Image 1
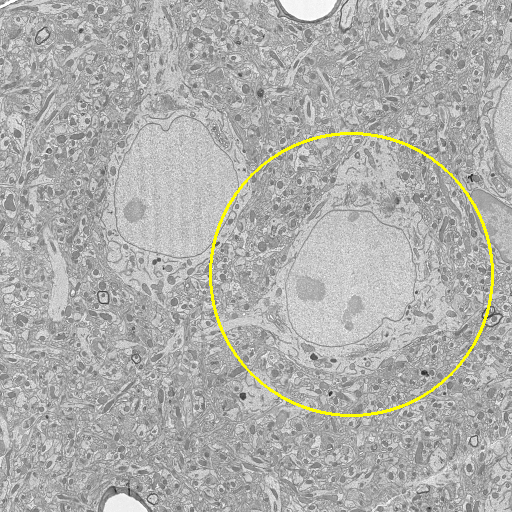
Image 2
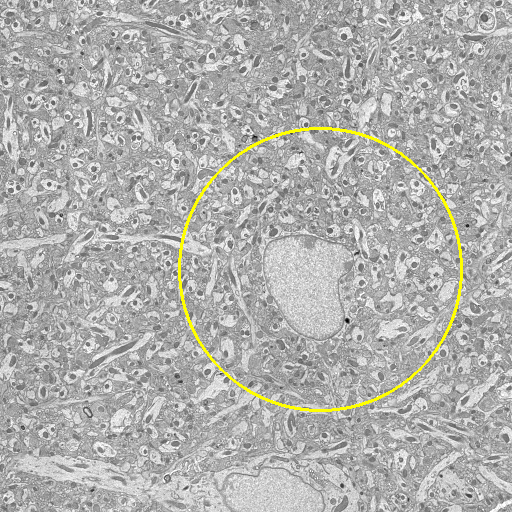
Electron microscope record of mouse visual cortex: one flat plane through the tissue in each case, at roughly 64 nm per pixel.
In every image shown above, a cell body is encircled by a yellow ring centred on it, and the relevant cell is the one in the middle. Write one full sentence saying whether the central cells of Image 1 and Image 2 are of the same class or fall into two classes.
The cell at the ring's centre in Image 1 and its counterpart in Image 2 fall into two classes.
